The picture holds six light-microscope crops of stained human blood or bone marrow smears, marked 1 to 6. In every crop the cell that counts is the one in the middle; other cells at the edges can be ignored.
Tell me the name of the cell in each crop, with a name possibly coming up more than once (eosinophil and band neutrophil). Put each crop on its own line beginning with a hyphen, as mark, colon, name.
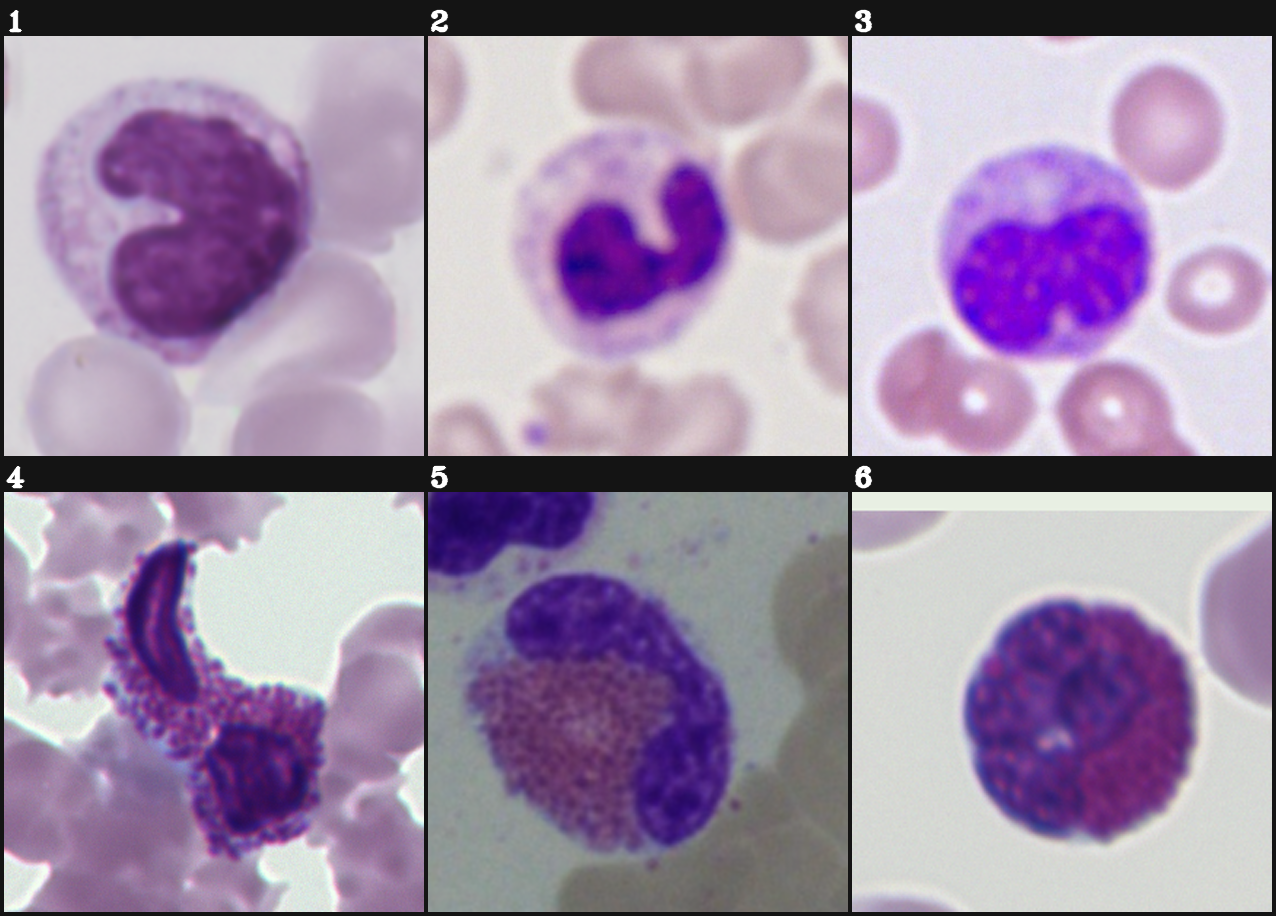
- 1: band neutrophil
- 2: band neutrophil
- 3: band neutrophil
- 4: eosinophil
- 5: eosinophil
- 6: eosinophil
